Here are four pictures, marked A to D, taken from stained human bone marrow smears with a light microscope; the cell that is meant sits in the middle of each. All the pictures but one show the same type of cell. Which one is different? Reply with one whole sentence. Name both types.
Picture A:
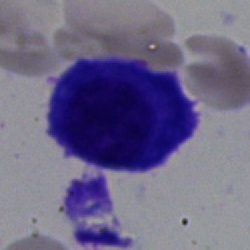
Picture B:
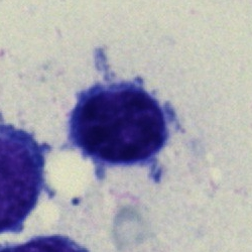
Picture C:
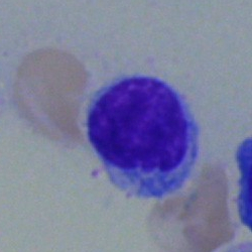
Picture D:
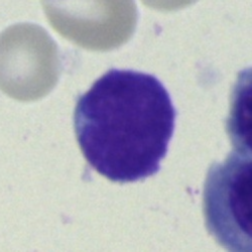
Picture A is the odd one out: it shows a plasma cell, while the others show lymphocytes.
